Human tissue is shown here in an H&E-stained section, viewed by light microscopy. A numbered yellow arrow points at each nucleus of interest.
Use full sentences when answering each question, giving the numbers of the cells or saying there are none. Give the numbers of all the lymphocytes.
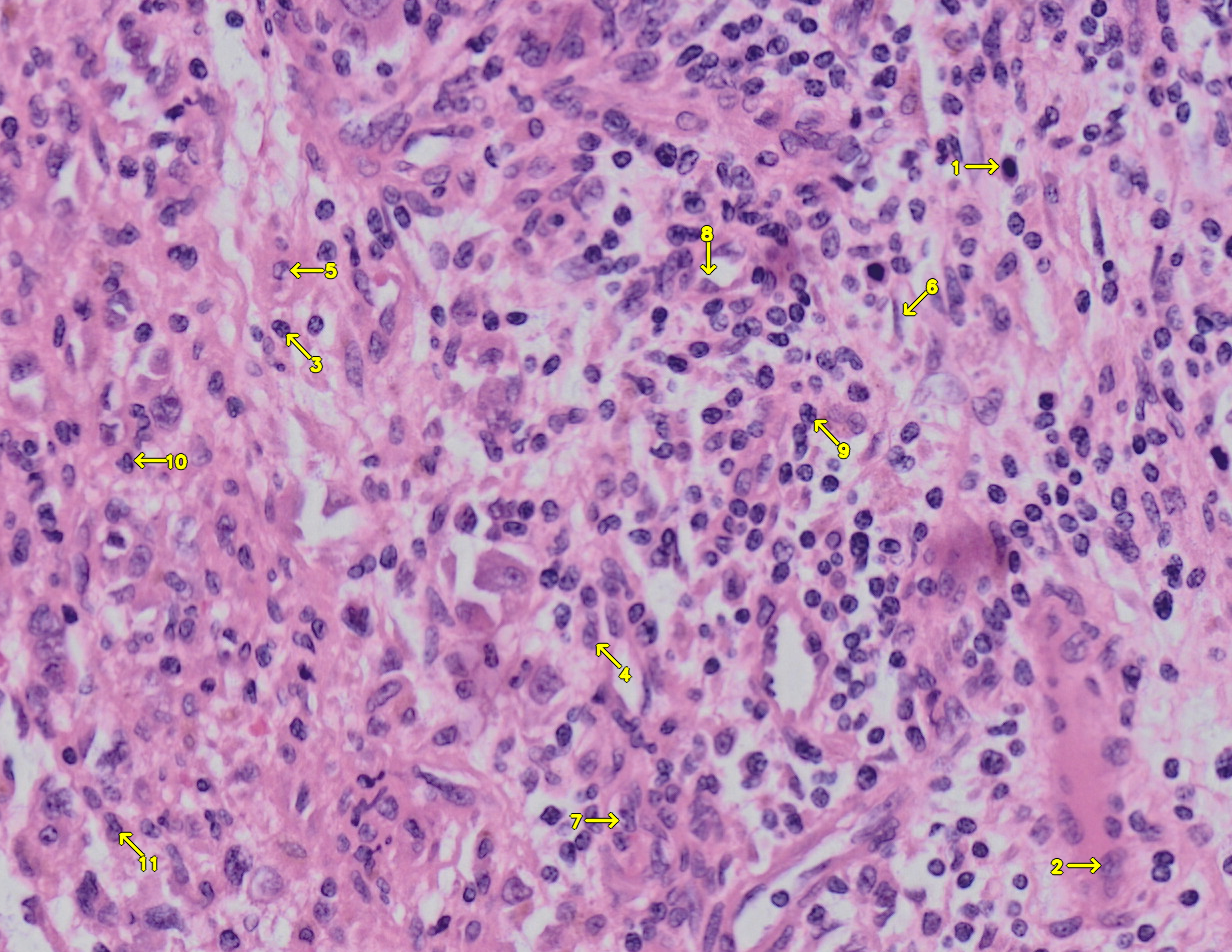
The cells that have been numbered 3 and 9 are lymphocytes.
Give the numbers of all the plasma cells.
Cell 1 is a plasma cell, which is true of none of the other numbered cells.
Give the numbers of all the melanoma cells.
With respect to the numbered cells, none are melanoma cells.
